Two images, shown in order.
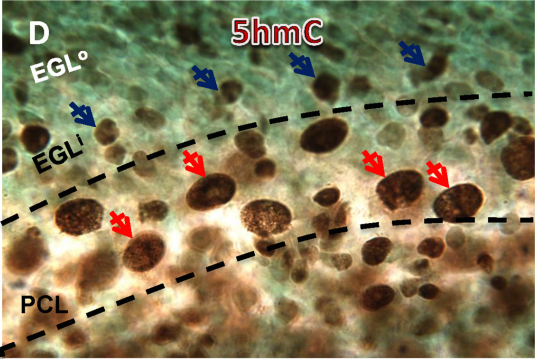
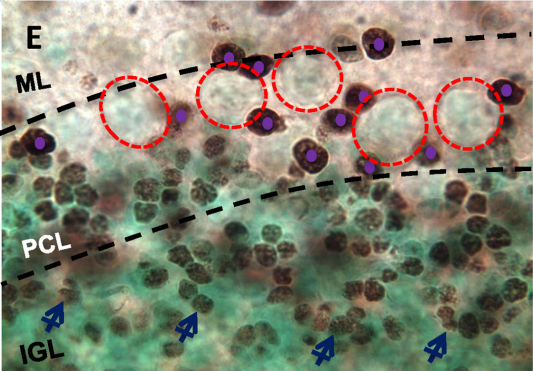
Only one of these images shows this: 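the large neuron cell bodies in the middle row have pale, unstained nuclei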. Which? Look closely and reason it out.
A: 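The second image. Second image: the large round cell bodies inside the dashed circles are pale and nearly colourless. First image: the large round nuclei in the middle band are dark brown.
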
